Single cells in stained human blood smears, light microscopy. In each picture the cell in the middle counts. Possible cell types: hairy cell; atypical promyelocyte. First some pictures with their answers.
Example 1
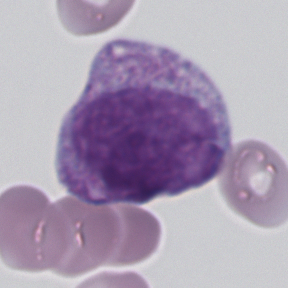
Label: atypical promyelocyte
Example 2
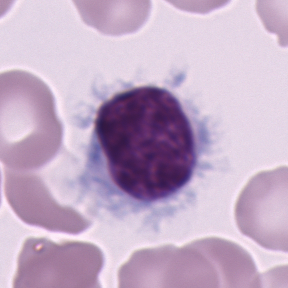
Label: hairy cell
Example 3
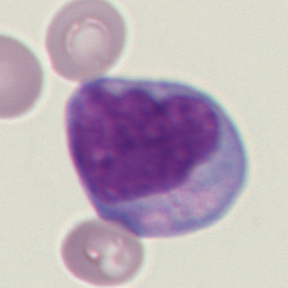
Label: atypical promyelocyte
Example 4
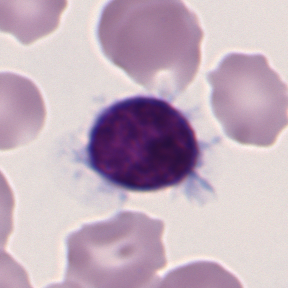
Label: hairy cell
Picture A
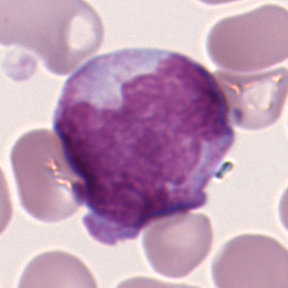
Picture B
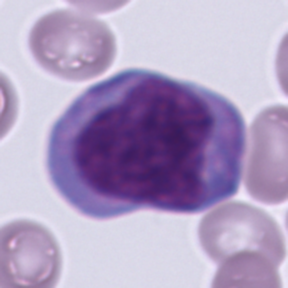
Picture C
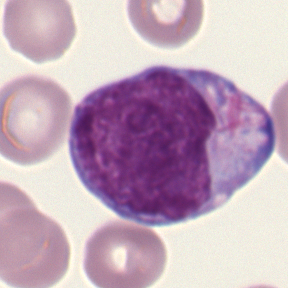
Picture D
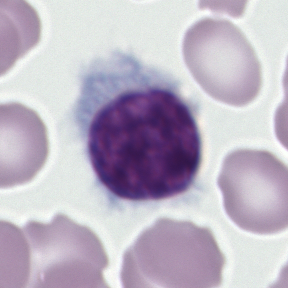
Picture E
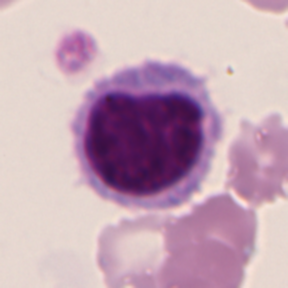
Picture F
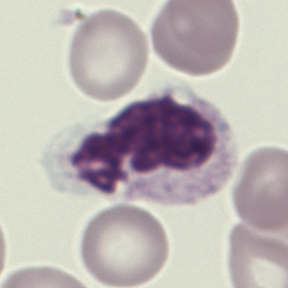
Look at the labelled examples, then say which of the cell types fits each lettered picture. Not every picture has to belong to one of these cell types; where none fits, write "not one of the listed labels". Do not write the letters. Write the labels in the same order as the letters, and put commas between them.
atypical promyelocyte, atypical promyelocyte, atypical promyelocyte, hairy cell, hairy cell, not one of the listed labels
